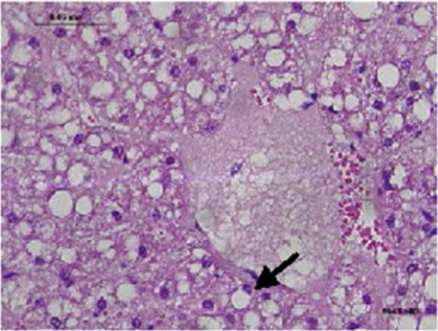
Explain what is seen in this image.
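This is liver with hepatocytes holding clear lipid vacuoles of mixed sizes, some large and some small, within pink cytoplasm. Some dark nuclei lie displaced at the rim of big vacuoles, and a vessel containing red blood cells runs through the middle of the field.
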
